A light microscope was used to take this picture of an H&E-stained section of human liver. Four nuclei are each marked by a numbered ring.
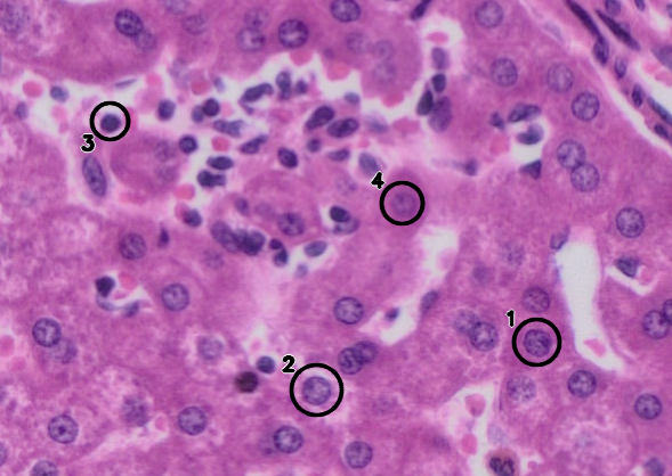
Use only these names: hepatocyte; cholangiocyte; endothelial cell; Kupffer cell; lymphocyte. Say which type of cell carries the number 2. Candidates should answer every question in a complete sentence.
Denoted by the label 2 in the section is a hepatocyte.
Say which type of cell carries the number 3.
The mark numbered 3 indicates the nucleus of a lymphocyte.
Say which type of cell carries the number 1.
At number 1, the marked cell is a hepatocyte.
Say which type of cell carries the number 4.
Among the marked nuclei, number 4 belongs to a hepatocyte.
